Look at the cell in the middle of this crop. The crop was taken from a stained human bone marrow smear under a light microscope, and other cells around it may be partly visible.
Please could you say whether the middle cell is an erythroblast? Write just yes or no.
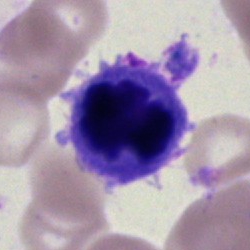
yes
